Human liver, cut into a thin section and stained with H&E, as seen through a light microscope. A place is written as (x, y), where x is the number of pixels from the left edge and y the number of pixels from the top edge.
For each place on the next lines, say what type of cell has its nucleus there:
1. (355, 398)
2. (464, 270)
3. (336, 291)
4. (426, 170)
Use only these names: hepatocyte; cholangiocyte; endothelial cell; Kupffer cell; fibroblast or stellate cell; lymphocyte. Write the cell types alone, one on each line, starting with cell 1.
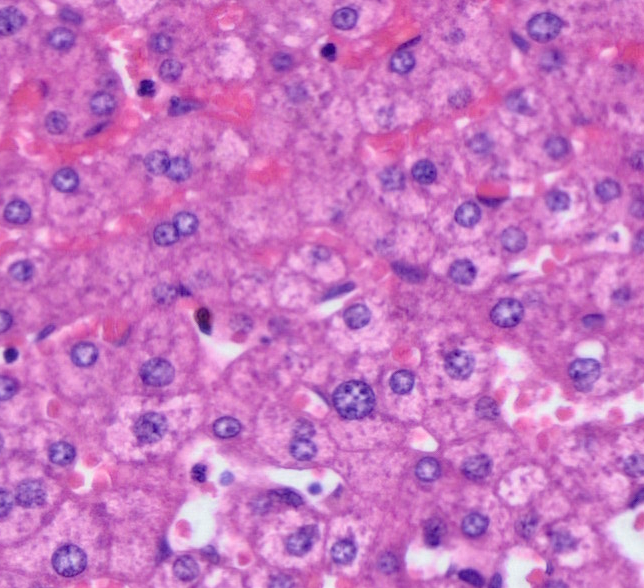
hepatocyte
hepatocyte
Kupffer cell
hepatocyte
